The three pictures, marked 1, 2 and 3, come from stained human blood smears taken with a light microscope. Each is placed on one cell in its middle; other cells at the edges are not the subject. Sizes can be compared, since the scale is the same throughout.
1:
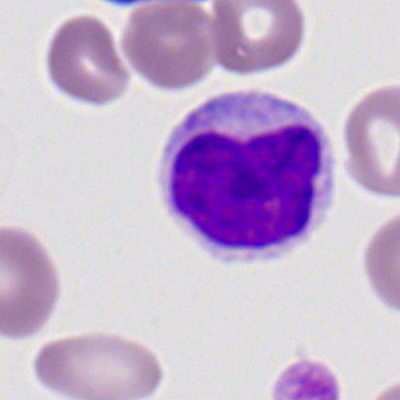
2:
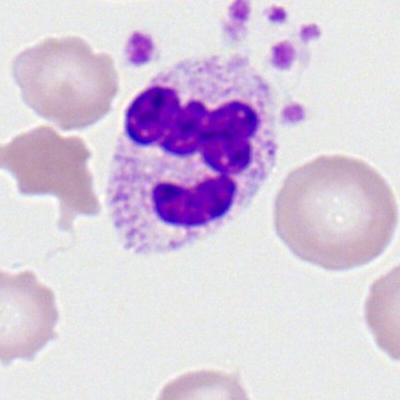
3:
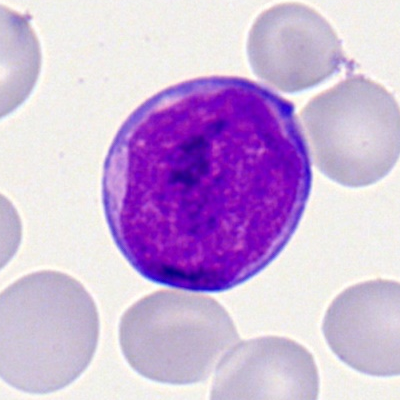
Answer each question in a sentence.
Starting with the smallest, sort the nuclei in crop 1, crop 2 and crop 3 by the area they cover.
Smallest first: 2, 1, 3.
